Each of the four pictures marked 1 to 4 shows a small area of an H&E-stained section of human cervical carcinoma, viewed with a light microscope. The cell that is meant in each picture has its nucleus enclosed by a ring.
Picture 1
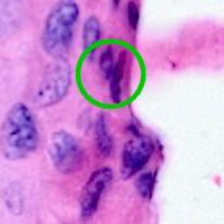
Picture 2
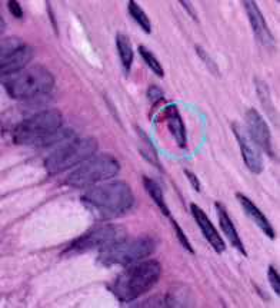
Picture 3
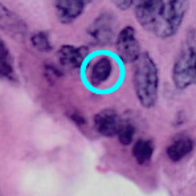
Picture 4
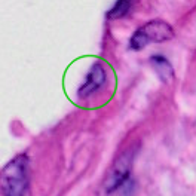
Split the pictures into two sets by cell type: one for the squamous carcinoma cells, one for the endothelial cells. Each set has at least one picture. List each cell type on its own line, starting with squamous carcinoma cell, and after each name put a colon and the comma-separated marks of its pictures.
squamous carcinoma cell: 1, 3
endothelial cell: 2, 4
